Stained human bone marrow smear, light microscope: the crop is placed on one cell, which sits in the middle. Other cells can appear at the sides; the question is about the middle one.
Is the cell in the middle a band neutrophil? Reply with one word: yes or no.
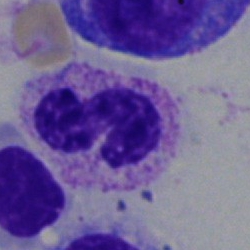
no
